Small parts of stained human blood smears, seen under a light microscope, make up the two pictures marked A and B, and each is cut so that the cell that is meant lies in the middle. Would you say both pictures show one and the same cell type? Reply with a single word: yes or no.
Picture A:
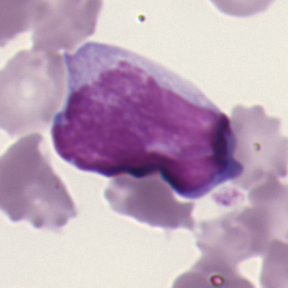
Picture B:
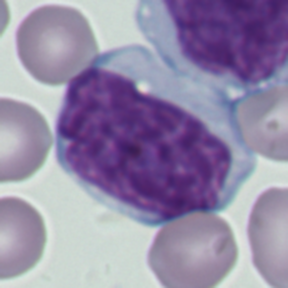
yes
